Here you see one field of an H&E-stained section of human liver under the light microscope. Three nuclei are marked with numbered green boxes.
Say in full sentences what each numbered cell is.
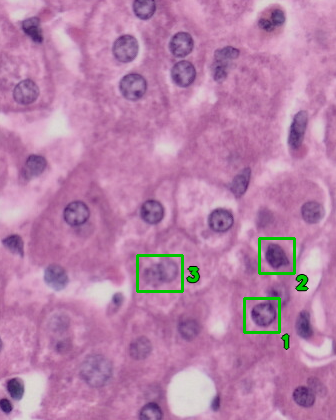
Cell 1 is a hepatocyte, cell 2 is a Kupffer cell and cell 3 is a hepatocyte.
